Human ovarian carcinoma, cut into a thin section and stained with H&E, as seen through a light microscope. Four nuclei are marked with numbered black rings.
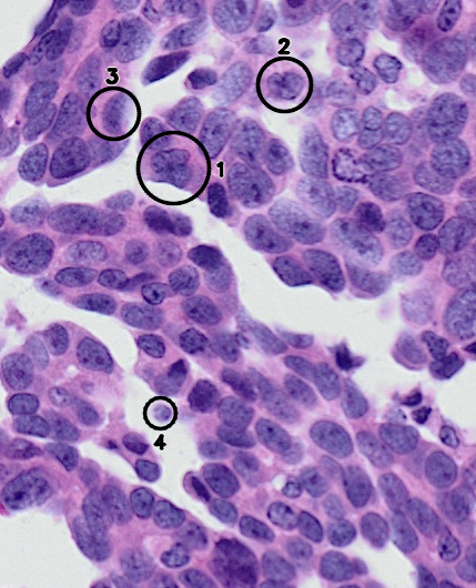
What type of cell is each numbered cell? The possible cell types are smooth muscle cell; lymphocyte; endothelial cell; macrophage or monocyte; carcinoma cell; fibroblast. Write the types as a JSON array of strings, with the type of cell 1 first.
["carcinoma cell", "macrophage or monocyte", "carcinoma cell", "lymphocyte"]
